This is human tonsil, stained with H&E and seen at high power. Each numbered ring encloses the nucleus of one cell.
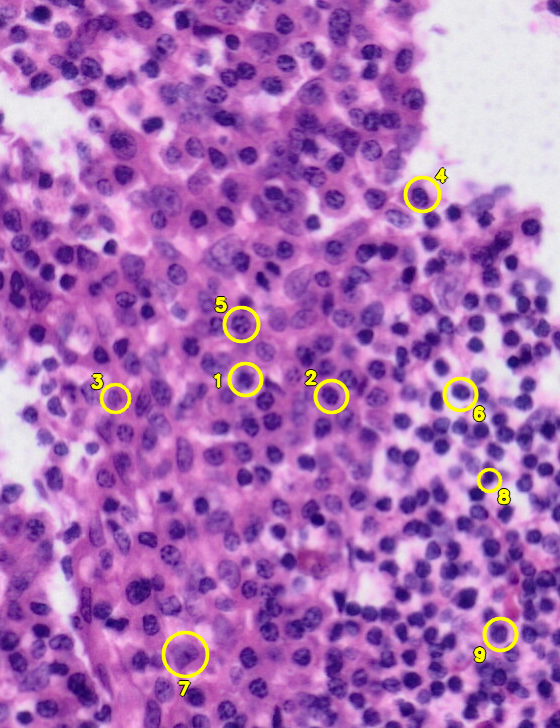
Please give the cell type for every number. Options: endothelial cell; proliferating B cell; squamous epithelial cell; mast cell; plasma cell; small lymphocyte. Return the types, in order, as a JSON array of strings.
["plasma cell", "plasma cell", "plasma cell", "plasma cell", "plasma cell", "small lymphocyte", "squamous epithelial cell", "small lymphocyte", "small lymphocyte"]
